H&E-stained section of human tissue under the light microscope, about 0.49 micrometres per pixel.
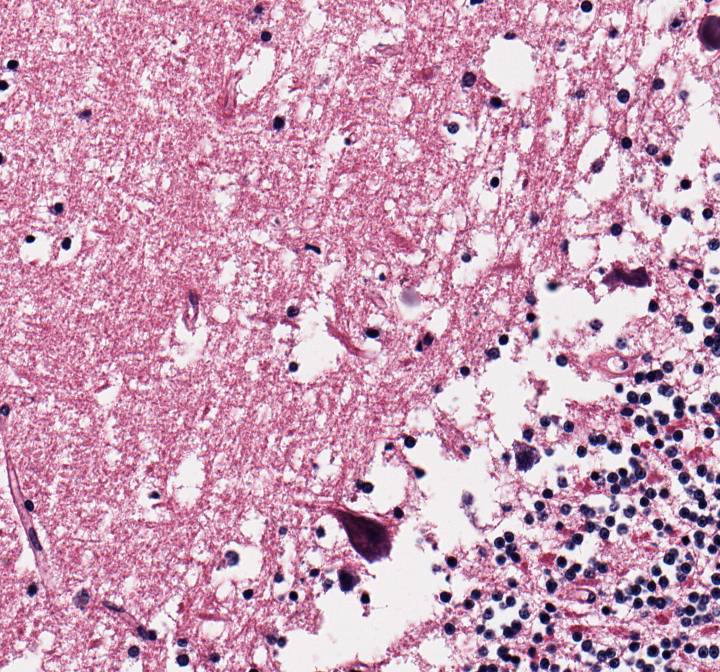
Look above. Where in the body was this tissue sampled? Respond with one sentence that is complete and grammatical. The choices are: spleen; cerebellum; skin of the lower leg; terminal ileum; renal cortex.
Tissue was sampled from the cerebellum for this slide.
